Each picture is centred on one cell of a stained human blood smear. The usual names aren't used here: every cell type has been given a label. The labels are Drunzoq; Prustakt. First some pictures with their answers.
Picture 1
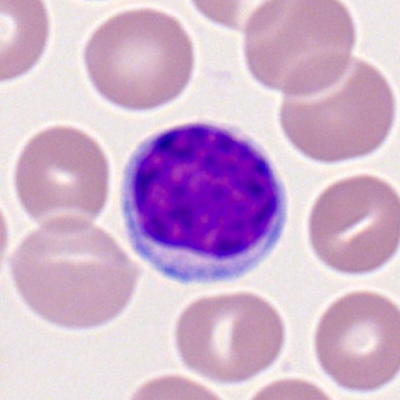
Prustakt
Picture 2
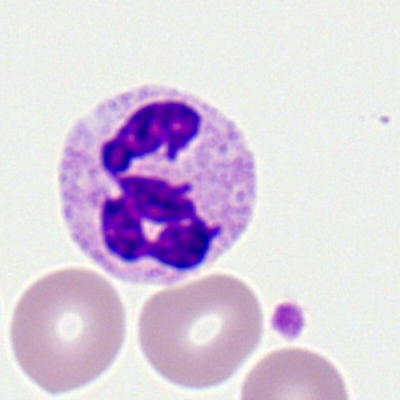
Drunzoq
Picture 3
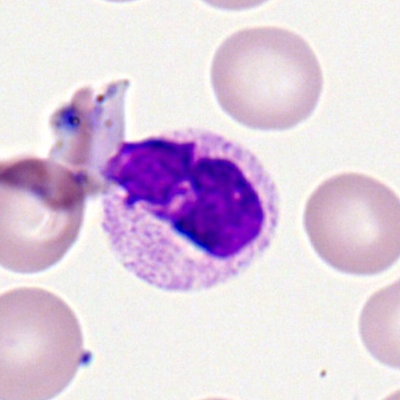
Drunzoq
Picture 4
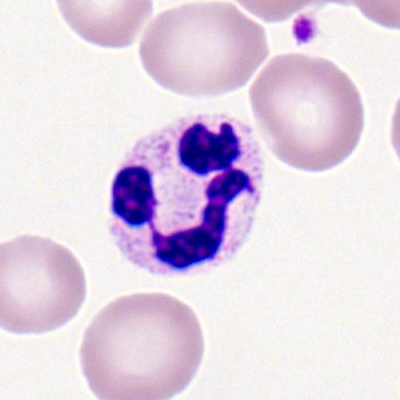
Drunzoq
